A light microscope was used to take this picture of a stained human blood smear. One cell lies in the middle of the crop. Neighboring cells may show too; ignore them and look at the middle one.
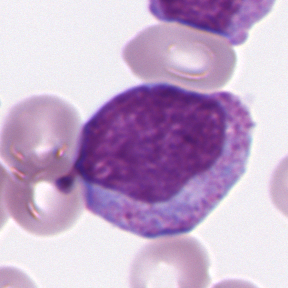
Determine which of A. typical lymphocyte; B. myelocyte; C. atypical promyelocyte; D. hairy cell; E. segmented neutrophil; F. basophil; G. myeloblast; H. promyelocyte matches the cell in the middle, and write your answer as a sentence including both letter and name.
The cell right in the middle is an atypical promyelocyte, so option C is the one.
